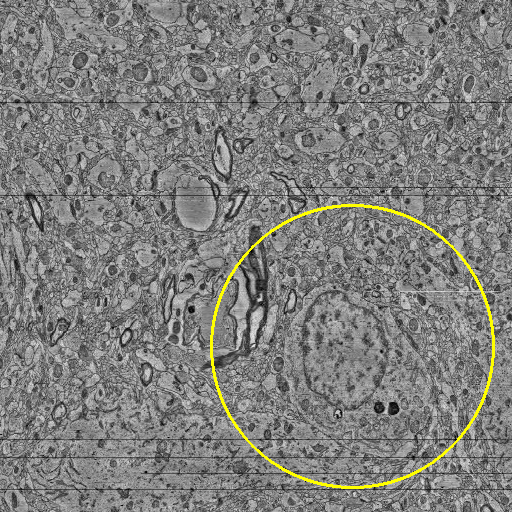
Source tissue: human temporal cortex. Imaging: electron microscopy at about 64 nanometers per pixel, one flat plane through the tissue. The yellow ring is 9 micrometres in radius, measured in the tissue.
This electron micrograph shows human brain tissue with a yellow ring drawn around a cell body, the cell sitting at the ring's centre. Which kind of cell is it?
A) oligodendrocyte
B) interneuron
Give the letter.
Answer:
B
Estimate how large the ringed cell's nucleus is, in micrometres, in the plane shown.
In this plane, the nucleus of the cell at the centre of the ring measures about 8 by 5 micrometres.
